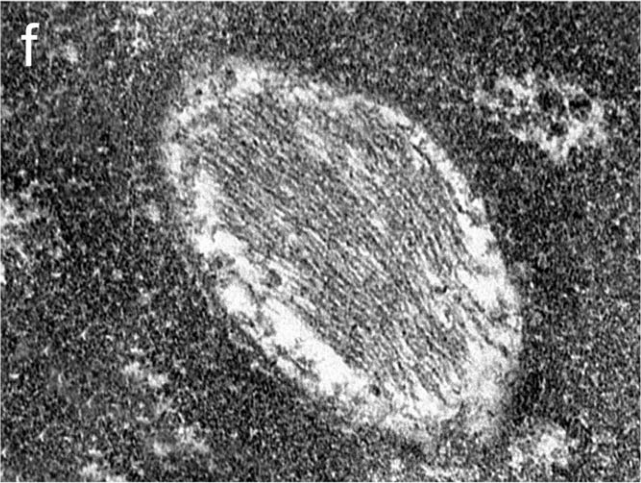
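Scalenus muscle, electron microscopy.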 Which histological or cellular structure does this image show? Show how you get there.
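Straight filaments. An oval body is filled with parallel straight fibrils. The fibrils run in one direction across the body.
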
